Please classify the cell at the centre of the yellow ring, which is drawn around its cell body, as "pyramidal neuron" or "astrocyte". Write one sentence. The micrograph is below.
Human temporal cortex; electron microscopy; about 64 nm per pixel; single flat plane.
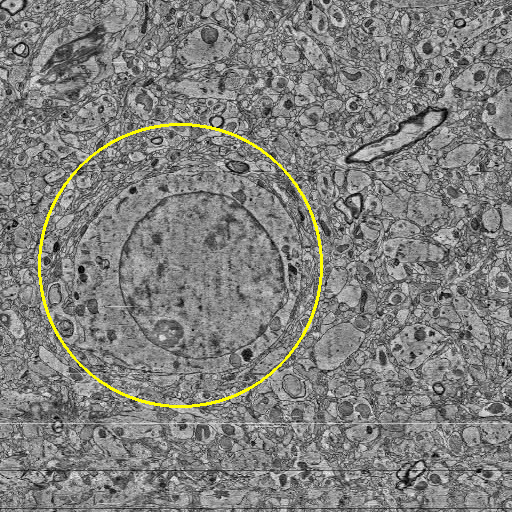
The cell at the ring's centre is classified as a pyramidal neuron.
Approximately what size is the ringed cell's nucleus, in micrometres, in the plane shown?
In this plane, the nucleus of the cell at the centre of the ring is about 11 micrometres across.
